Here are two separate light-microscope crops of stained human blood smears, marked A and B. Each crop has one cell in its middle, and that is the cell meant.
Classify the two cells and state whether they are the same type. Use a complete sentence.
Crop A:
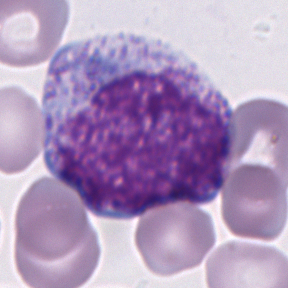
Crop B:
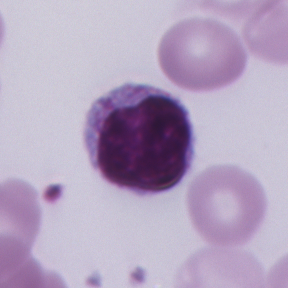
No, crop A is the one with a myelocyte; crop B has a large granular lymphocyte.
